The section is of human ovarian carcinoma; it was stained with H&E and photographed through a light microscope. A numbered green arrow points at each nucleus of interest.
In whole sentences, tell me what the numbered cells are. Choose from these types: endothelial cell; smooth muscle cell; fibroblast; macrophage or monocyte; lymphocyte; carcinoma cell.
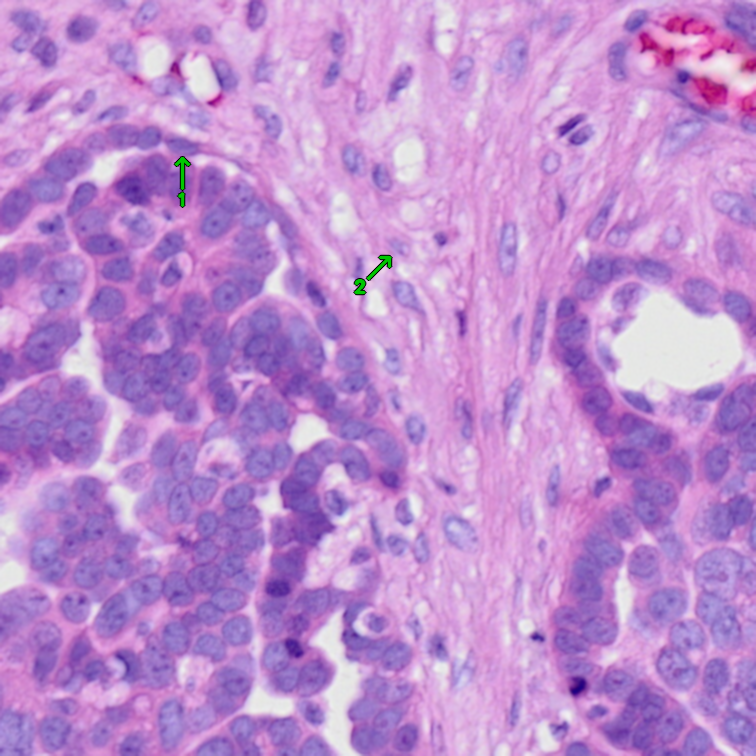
Cell 1 is a carcinoma cell and cell 2 is a fibroblast.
